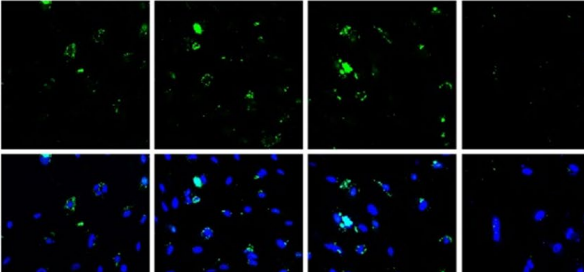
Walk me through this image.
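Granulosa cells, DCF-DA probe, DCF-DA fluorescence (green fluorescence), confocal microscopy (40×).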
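This is a grid of fluorescence images of sparsely spread cultured cells on a black background, shown as a row of green-only images above a row of matching merged images. In the merged images each cell is marked by an oval blue nucleus, and the nuclei lie scattered and well apart from one another. The green fluorescence is mostly punctate or granular, forming small clusters that sit close against the nuclei rather than filling broad cell bodies. A few cells carry larger, brighter green patches over or next to their nuclei. The amount of green differs between the columns, and in one column it is faint, with only a few scattered specks.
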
